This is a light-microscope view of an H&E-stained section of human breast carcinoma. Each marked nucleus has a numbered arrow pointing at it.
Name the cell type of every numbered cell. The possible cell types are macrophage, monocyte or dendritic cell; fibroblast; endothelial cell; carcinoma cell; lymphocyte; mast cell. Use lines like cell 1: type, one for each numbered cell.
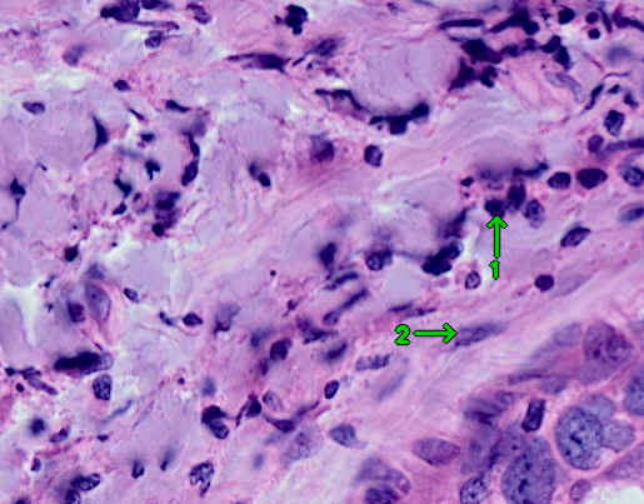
cell 1: lymphocyte
cell 2: fibroblast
